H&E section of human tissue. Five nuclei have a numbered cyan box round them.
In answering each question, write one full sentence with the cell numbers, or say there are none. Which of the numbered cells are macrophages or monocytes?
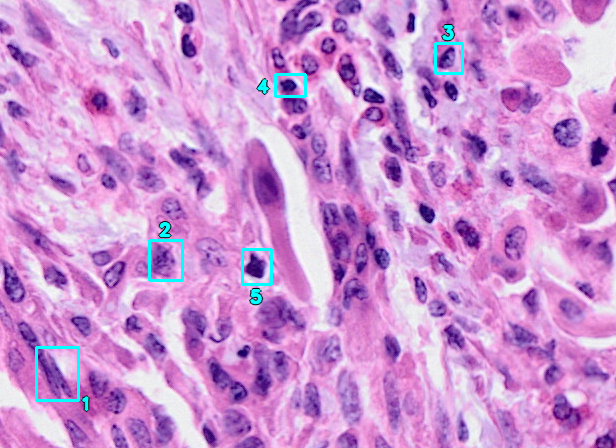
Cell 2 is a macrophage or monocyte and is the only numbered cell of that kind.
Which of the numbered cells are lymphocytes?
The cells whose numbers are 3, 4 and 5 are lymphocytes.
